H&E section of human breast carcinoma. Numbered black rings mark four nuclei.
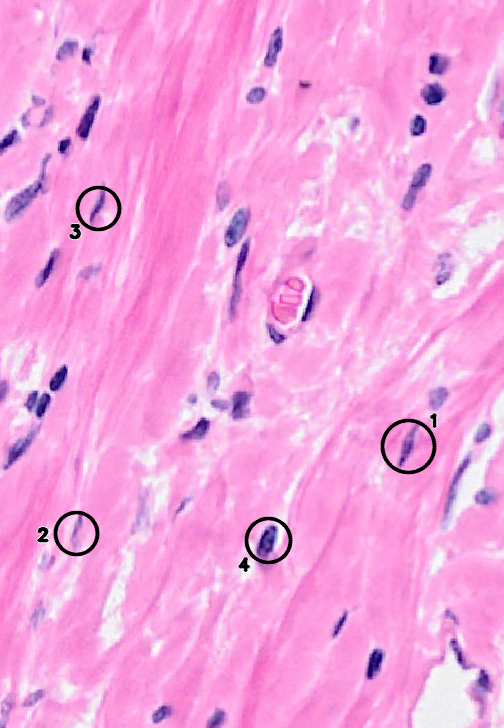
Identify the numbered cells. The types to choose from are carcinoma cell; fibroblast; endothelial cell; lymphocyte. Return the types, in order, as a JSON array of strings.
["fibroblast", "fibroblast", "fibroblast", "lymphocyte"]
